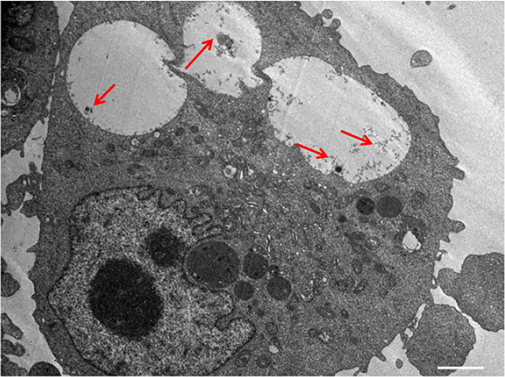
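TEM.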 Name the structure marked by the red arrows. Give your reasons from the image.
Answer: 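The arrows point to small dark granular clusters. These clusters lie inside large pale, electron-lucent vacuoles in the cytoplasm. So: fine particles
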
